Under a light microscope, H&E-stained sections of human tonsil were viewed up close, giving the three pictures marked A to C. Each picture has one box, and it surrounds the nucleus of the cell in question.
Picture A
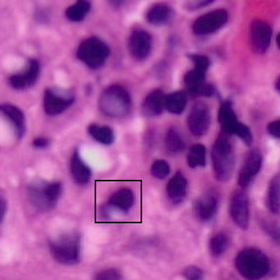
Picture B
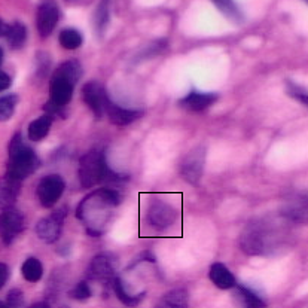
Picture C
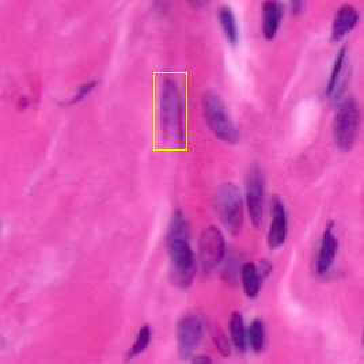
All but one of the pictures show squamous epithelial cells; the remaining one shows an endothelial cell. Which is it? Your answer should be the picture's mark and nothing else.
C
